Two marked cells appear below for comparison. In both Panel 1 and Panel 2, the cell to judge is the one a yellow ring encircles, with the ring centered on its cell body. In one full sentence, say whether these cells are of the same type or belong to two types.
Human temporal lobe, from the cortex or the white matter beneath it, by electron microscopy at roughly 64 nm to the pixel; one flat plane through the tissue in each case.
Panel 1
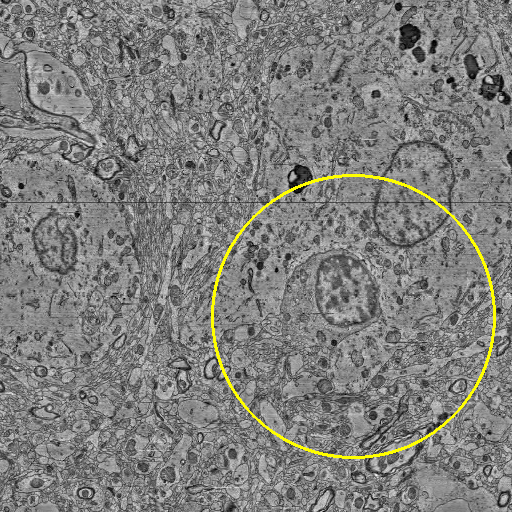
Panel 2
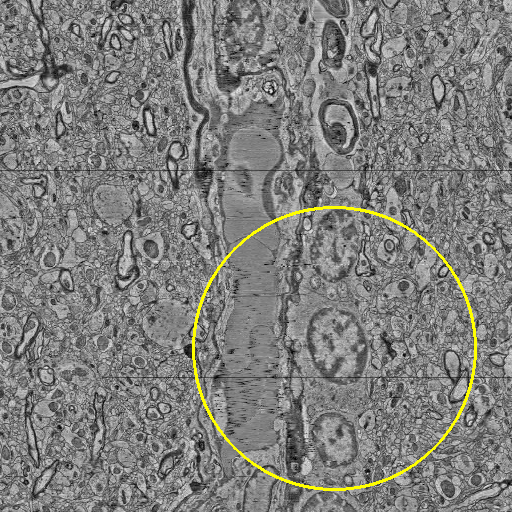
The cell centered in the Panel 1 ring and the one in Panel 2 are of the same type.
